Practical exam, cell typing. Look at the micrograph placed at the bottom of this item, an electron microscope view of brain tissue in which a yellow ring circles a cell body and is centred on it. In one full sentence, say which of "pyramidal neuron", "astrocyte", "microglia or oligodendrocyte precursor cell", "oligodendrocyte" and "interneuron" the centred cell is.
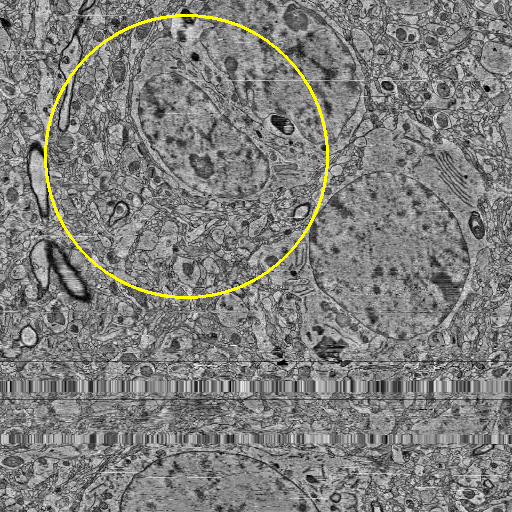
Given the options, a microglial cell or oligodendrocyte precursor cell fits the cell whose body the yellow ring is centred on.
